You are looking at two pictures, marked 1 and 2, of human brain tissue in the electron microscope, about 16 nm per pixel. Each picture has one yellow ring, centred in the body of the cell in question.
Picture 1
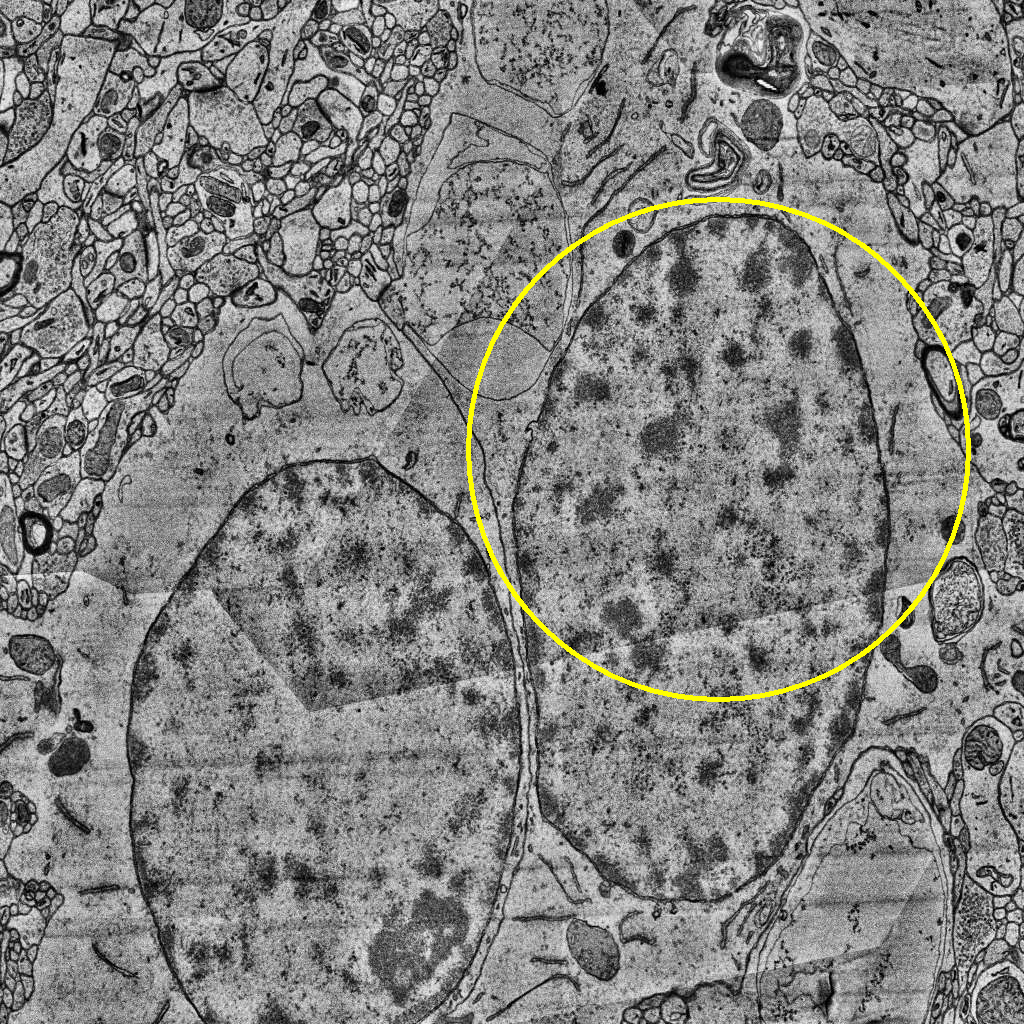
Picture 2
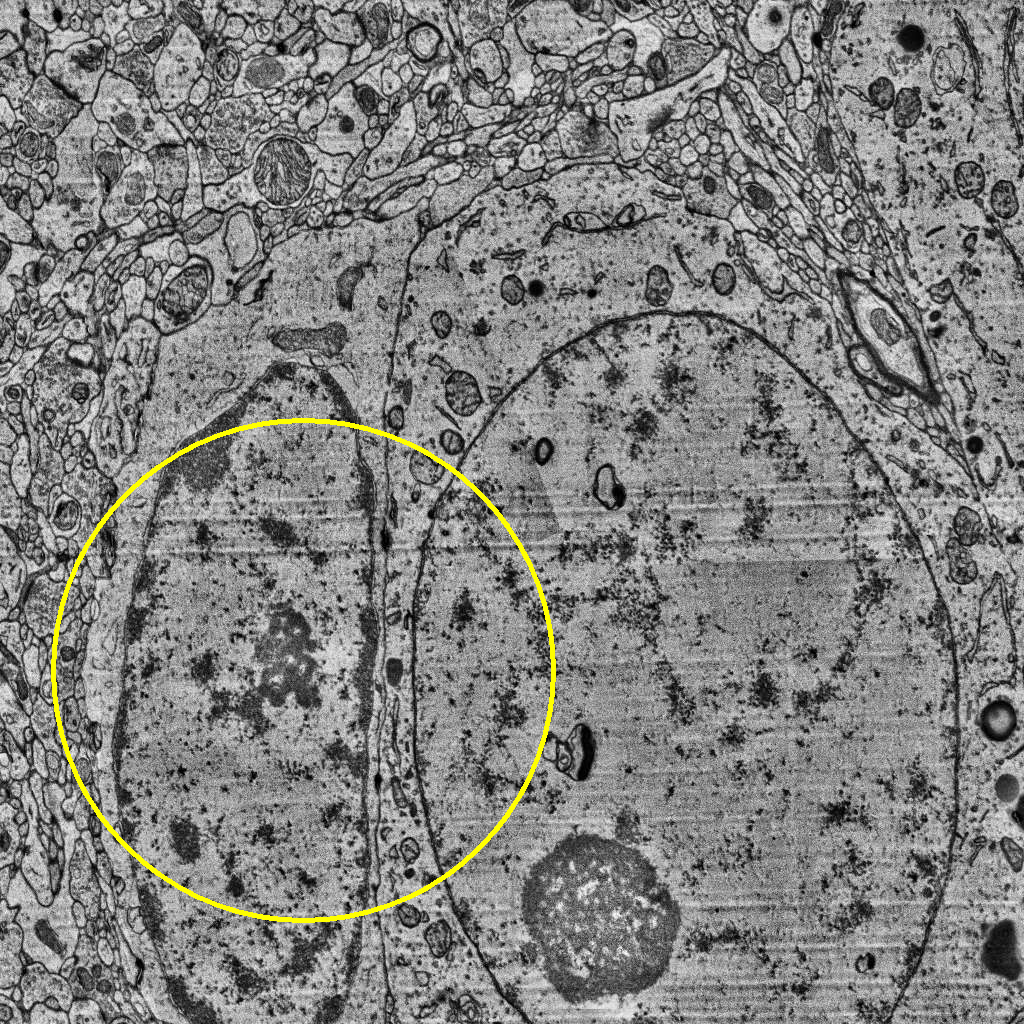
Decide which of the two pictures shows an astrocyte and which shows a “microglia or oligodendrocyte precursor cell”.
The cell in picture 1 is an astrocyte, and the one in picture 2 is a “microglia or oligodendrocyte precursor cell”.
